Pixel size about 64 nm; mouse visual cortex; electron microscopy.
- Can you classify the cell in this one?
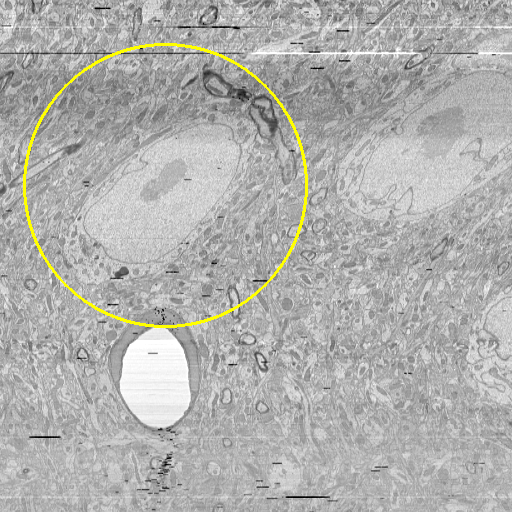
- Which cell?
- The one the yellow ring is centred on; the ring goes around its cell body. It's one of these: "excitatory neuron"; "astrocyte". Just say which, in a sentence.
The cell body in the ring belongs to an excitatory neuron.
